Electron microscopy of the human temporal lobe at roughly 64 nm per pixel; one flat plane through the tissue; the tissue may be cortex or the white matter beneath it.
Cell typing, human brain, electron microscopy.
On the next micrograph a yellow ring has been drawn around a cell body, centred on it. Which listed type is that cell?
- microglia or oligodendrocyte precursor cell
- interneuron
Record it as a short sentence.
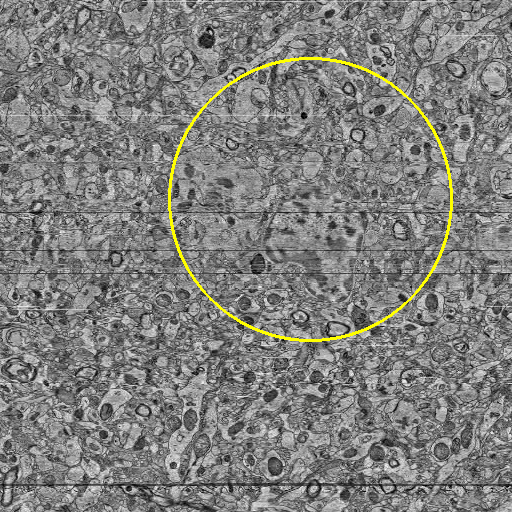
The cell body in the ring's centre belongs to a microglial cell or oligodendrocyte precursor cell.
